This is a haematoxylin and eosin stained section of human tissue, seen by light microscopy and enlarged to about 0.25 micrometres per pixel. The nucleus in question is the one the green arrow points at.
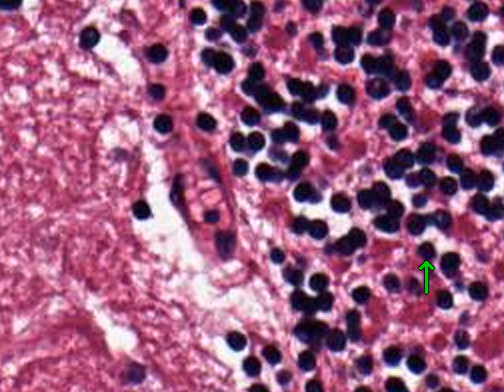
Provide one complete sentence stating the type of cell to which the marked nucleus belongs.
In this section, the marked nucleus is that of a cerebellar granule cell.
